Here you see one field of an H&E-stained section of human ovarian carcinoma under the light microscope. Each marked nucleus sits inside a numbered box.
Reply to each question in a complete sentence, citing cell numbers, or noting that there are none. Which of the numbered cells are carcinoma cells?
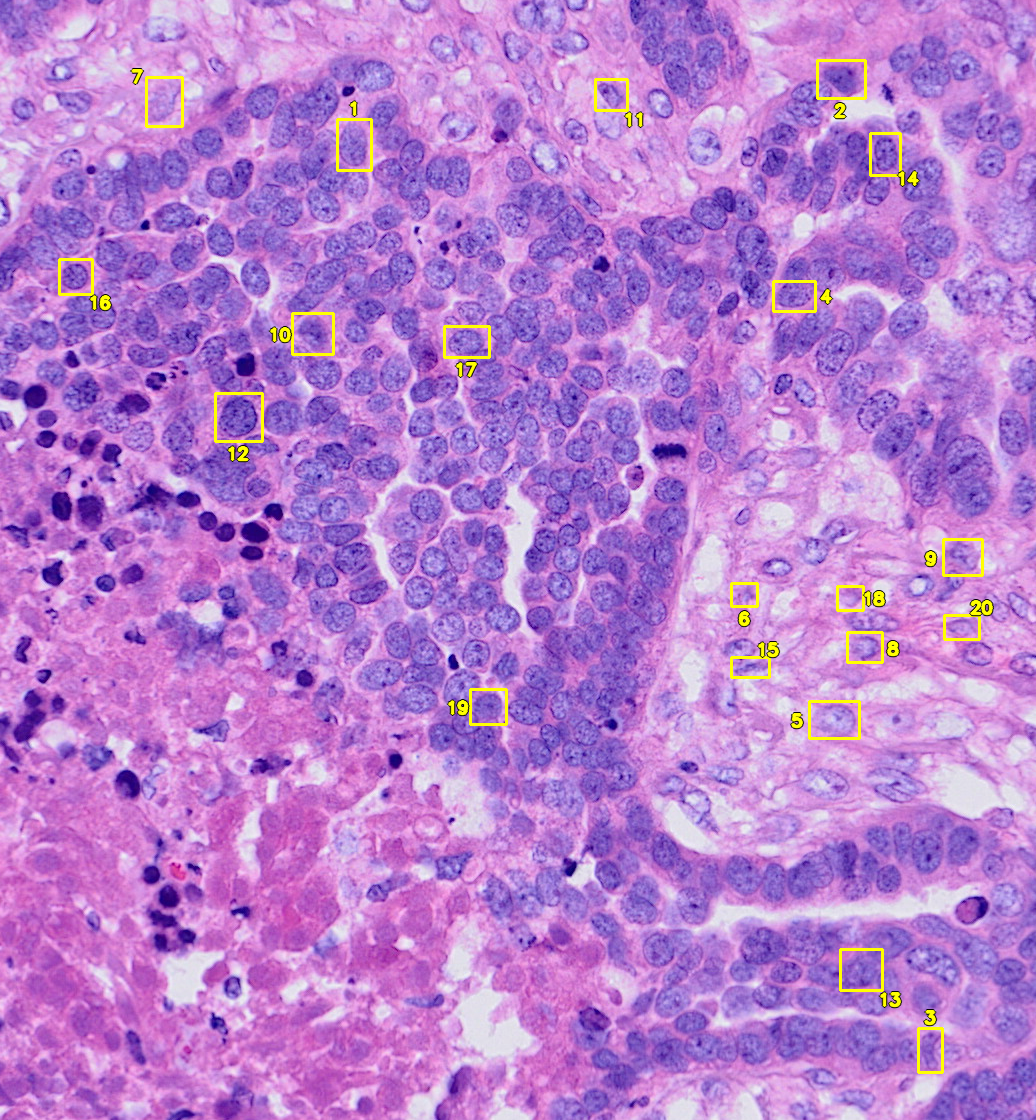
The cells bearing the numbers 1, 2, 3, 4, 10, 12, 13, 14, 16, 17 and 19 are carcinoma cells.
